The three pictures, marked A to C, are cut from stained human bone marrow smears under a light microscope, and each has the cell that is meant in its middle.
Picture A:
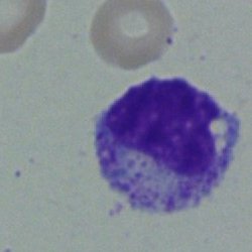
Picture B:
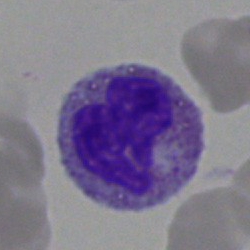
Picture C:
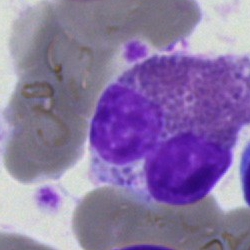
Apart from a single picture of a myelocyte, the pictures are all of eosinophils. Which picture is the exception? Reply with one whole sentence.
Picture A is the one that shows the myelocyte.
